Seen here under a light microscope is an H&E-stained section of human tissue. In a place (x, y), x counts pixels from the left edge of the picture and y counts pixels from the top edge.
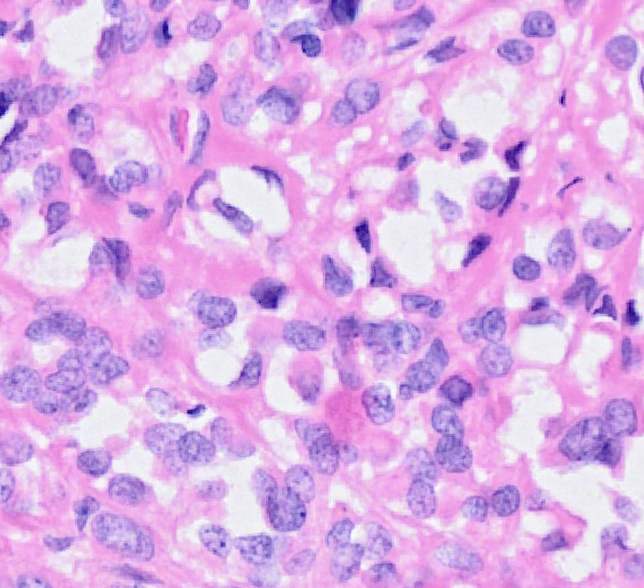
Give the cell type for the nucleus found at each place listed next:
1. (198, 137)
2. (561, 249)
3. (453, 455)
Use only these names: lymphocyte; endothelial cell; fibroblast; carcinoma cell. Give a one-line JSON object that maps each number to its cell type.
{"1": "endothelial cell", "2": "carcinoma cell", "3": "carcinoma cell"}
